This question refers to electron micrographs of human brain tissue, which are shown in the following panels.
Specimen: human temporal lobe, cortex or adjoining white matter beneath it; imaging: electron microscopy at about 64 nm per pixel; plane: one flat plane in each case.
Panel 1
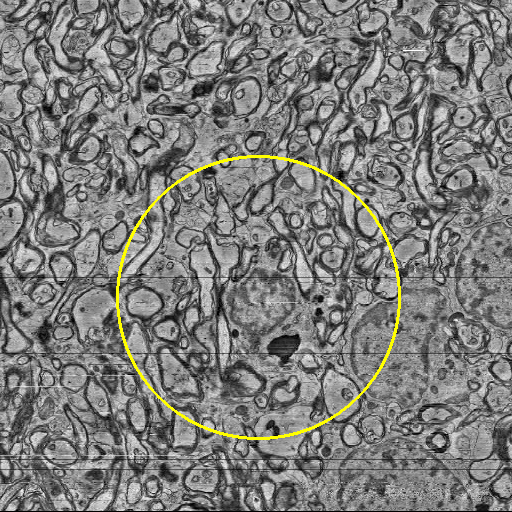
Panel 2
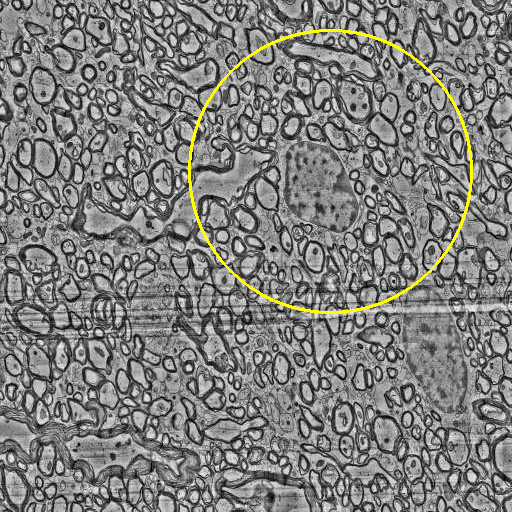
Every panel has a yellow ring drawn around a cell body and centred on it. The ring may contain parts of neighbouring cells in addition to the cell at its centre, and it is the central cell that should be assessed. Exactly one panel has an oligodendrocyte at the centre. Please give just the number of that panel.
1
